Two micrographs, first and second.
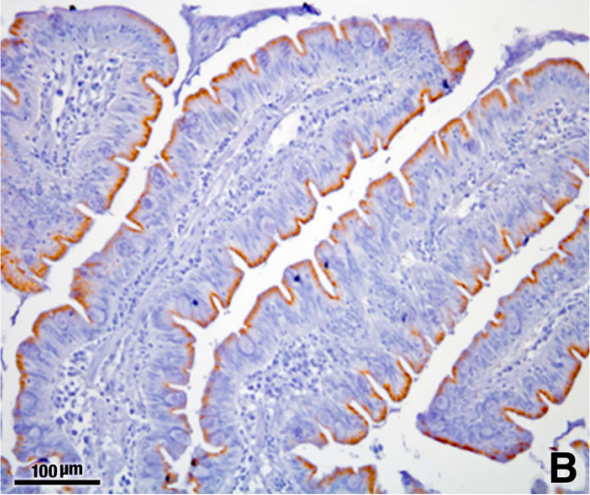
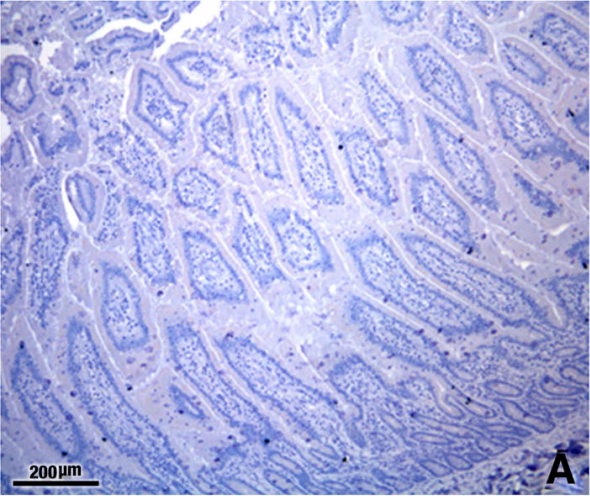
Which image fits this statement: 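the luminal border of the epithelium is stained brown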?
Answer: The first image.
